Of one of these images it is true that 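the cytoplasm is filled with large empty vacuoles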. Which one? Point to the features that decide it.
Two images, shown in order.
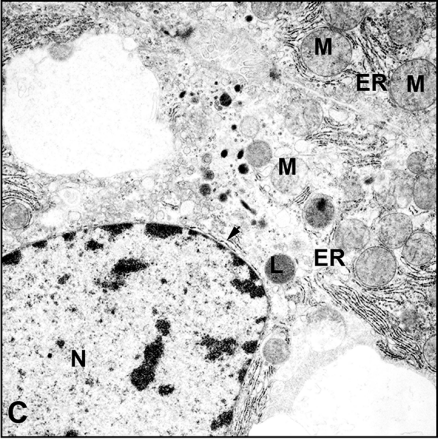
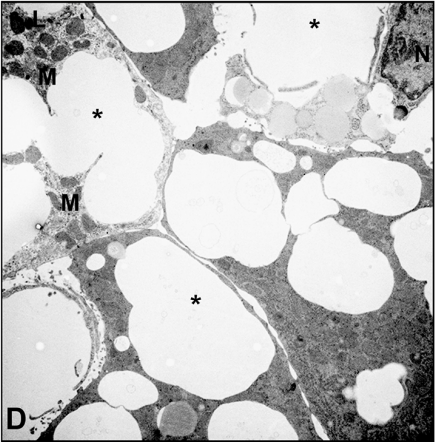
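The second image. Second image: large clear rounded spaces occupy most of the field, leaving only thin dark strips of cytoplasm.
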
